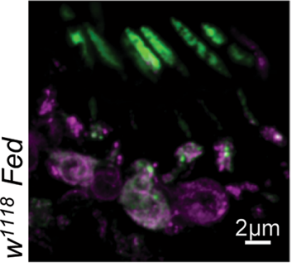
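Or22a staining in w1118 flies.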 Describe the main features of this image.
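Sensory neurons are seen with their cell bodies in the lower half and their cilia in the upper part of the field. The cell bodies are round to oval, several micrometres across, with magenta labeling outlining them and filling the cytoplasm; one or two also carry green signal. Thin processes rise from the cell bodies toward the top, where bright green, slender, elongated cilia lie side by side in a row. Along the processes, between the cell bodies and the cilia, scattered small bright green dots are visible, some mixed with magenta specks. The background is dark.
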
